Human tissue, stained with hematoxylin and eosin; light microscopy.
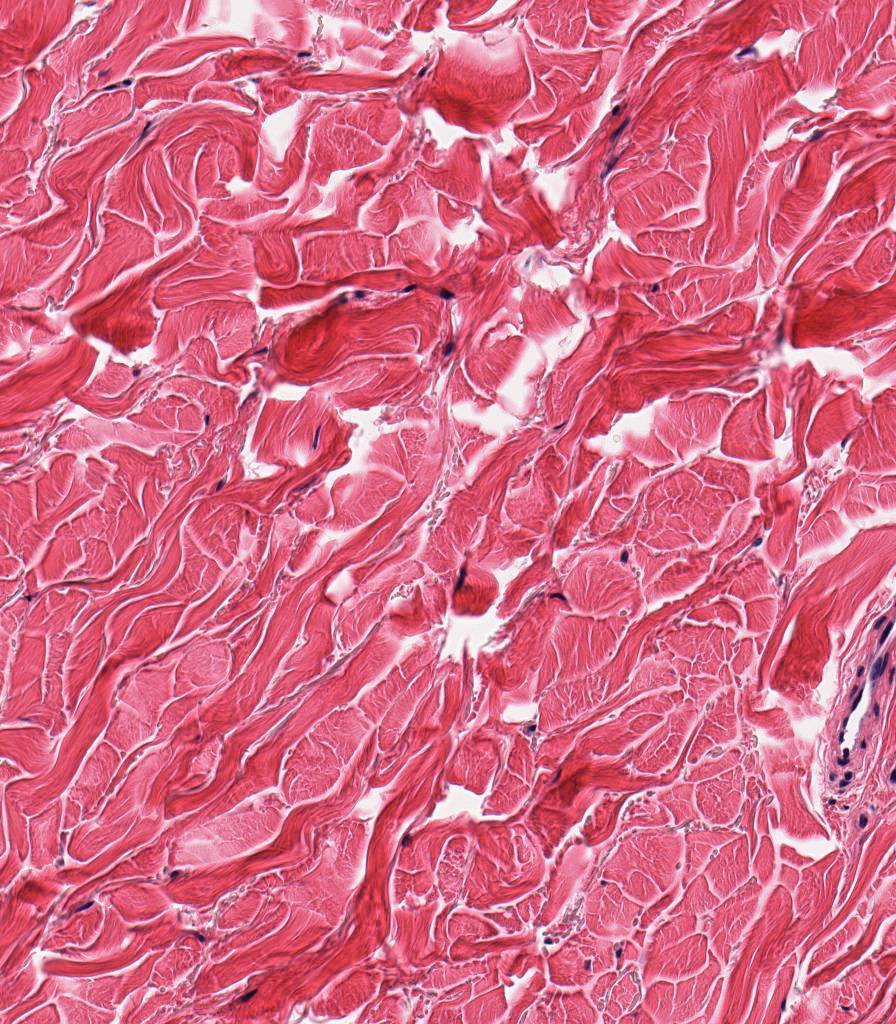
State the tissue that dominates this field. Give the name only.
dermis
